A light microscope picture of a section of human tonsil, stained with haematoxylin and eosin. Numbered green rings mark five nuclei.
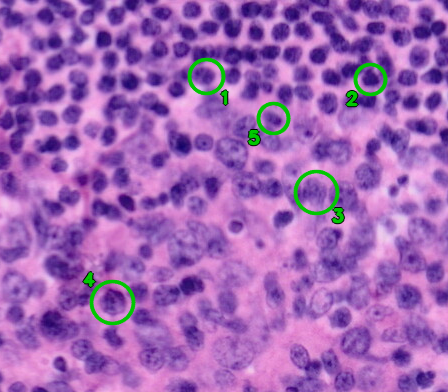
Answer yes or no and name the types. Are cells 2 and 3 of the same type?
No, cell 2 is a small lymphocyte and cell 3 is a proliferating B cell.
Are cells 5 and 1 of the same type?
No, cell 5 is a proliferating B cell and cell 1 is a small lymphocyte.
